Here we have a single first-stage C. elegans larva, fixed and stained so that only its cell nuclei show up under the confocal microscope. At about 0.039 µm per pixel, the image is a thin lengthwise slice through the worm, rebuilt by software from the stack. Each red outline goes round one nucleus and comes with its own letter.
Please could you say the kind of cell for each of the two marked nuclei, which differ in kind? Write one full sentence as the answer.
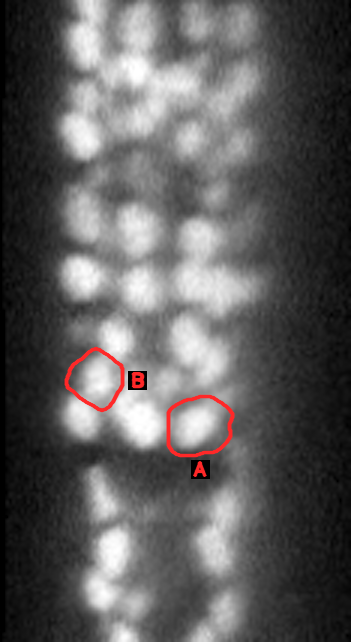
One is from a GLR cell, namely A, and the other, B, is from a neuron.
